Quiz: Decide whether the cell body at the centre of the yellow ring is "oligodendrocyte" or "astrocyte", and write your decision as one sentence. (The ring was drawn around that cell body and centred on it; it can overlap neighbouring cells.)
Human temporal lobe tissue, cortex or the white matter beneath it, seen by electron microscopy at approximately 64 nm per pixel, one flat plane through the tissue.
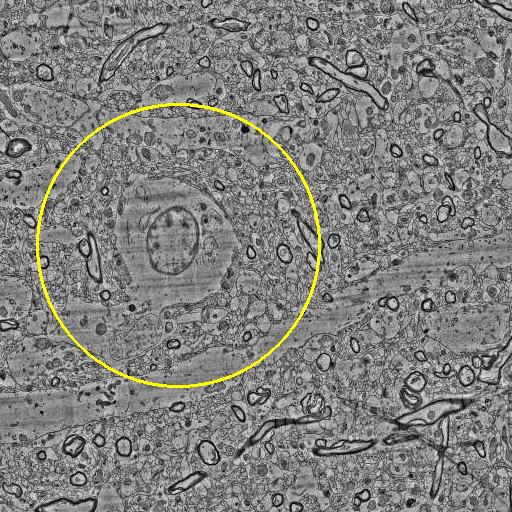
The cell the ring is centred on is an astrocyte.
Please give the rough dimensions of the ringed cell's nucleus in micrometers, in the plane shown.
Roughly 4 micrometres by 3 micrometres, in this plane.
